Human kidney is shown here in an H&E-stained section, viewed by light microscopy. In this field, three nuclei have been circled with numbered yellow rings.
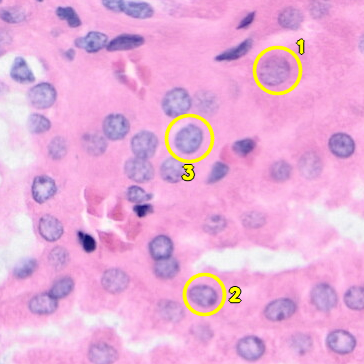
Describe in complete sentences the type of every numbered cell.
Cell 1 is a proximal tubule cell, cell 2 is a proximal tubule cell and cell 3 is a loop of Henle or distal tubule cell.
